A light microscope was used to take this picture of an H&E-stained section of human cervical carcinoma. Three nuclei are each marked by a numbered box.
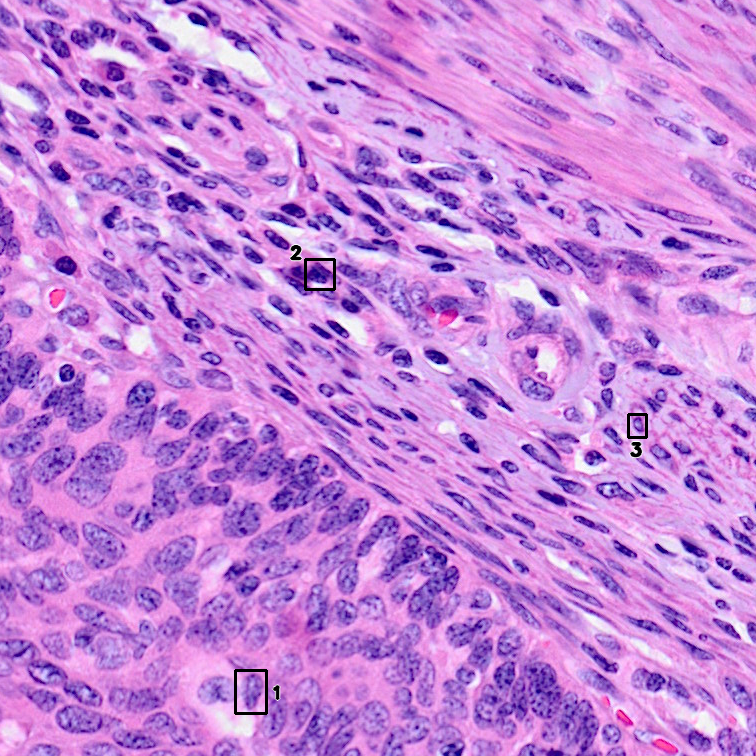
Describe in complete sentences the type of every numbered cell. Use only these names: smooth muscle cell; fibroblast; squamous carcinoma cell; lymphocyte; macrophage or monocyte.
Cell 1 is a squamous carcinoma cell, cell 2 is a lymphocyte and cell 3 is a smooth muscle cell.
